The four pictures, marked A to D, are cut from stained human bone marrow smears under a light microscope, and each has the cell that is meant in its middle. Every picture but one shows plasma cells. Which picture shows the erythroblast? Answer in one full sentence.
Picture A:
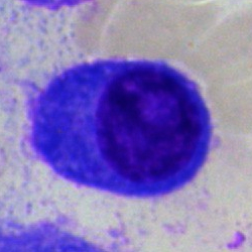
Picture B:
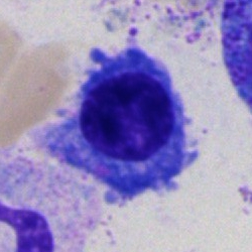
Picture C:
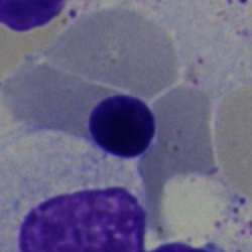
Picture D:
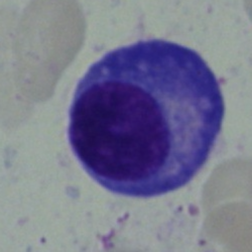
The picture with the erythroblast is C.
